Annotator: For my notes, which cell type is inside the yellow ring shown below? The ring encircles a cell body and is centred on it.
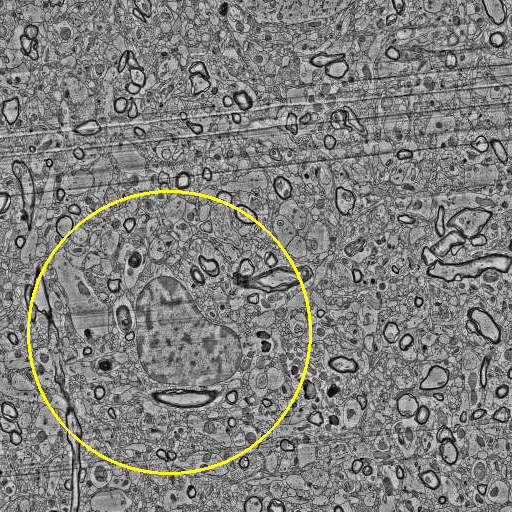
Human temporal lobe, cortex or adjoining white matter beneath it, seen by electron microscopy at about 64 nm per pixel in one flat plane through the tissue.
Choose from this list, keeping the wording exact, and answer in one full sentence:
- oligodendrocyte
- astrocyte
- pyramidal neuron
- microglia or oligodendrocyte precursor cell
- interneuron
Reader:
At the centre of the yellow ring there is a microglial cell or oligodendrocyte precursor cell, as shown in the picture.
